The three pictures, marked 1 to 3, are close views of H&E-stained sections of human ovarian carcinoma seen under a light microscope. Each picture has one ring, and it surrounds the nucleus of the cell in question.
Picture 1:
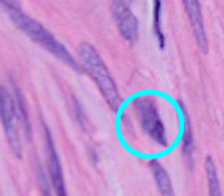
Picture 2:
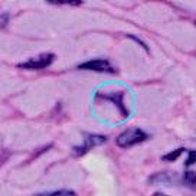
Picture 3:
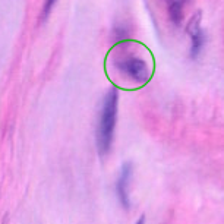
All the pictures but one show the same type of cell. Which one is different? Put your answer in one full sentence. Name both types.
The others show smooth muscle cells, but picture 2 shows a fibroblast.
